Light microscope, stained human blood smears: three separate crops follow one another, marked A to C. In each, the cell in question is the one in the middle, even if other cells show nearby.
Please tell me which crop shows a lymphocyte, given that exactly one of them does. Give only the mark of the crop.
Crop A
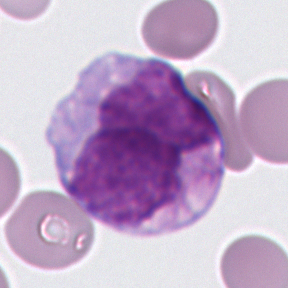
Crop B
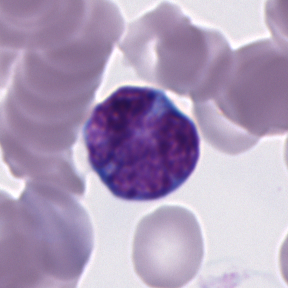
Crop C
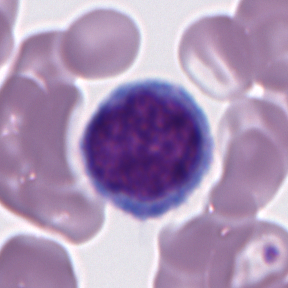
B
